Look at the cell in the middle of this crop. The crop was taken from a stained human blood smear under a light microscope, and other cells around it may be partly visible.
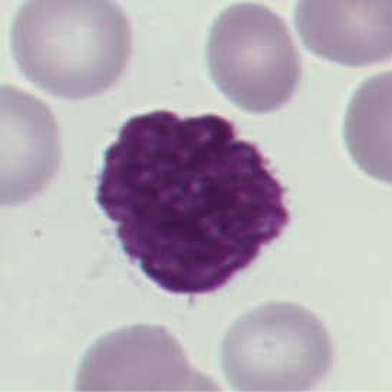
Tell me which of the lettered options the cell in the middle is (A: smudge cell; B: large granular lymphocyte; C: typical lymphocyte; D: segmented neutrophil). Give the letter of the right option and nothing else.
A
